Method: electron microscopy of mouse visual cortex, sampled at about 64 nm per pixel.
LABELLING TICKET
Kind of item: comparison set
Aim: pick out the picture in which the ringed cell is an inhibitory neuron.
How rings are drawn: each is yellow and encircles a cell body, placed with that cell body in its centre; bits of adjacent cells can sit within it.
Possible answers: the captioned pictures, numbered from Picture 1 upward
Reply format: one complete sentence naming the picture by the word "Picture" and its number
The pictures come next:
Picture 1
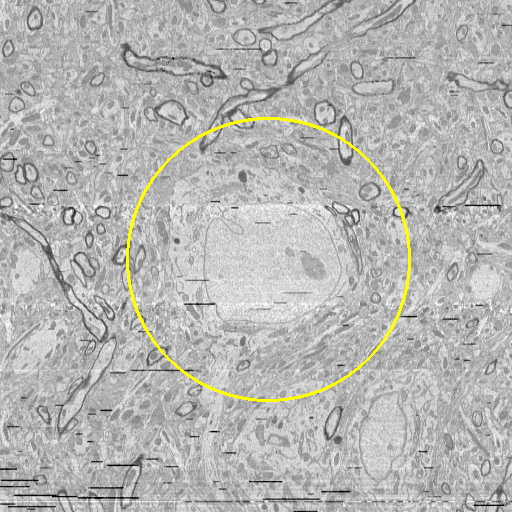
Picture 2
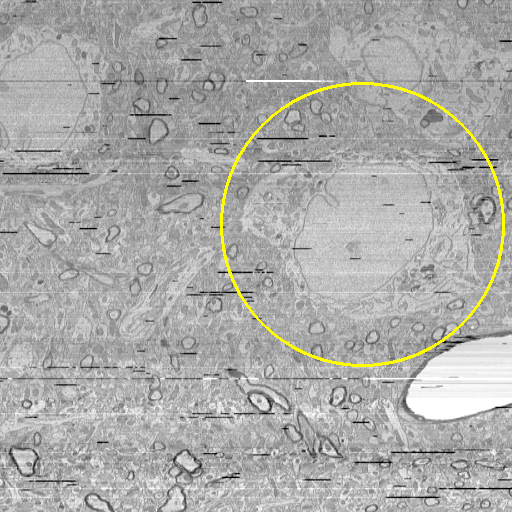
The cell centred inside the yellow ring in Picture 2 is the requested one.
